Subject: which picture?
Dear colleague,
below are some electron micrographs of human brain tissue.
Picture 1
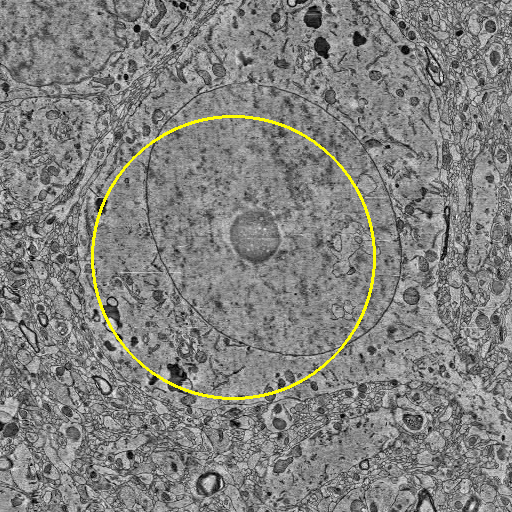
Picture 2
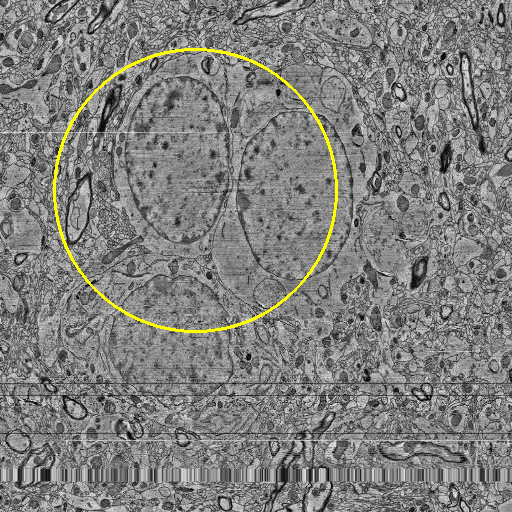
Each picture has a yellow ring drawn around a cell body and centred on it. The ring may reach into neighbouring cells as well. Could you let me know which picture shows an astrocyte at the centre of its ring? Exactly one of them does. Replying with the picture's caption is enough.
Picture 2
